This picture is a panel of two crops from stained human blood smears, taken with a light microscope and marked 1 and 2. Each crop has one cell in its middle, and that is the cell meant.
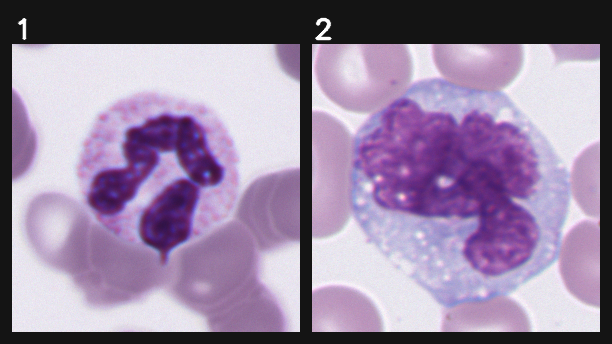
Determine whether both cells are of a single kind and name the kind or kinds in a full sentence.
No, in crop 2 the central cell is a monocyte, and in crop 1 it is a neutrophil.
